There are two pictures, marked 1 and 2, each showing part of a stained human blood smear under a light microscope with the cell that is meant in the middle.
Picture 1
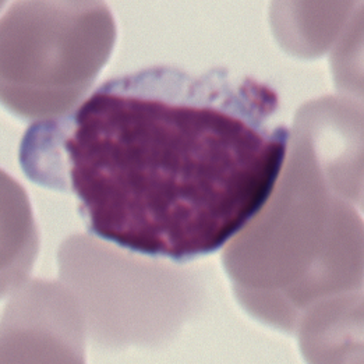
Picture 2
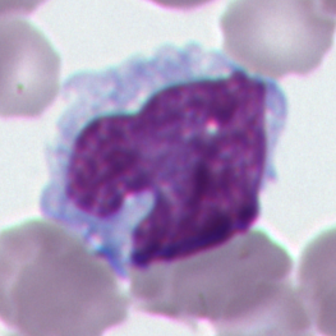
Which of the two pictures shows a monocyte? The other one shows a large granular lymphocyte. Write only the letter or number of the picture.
2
